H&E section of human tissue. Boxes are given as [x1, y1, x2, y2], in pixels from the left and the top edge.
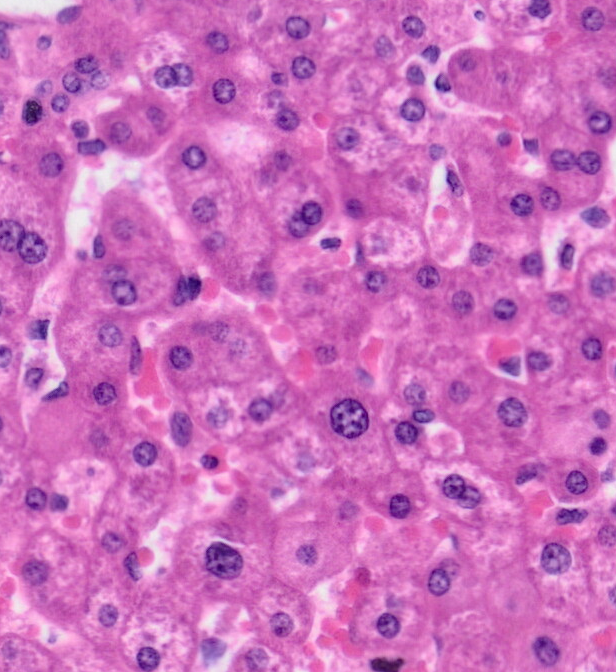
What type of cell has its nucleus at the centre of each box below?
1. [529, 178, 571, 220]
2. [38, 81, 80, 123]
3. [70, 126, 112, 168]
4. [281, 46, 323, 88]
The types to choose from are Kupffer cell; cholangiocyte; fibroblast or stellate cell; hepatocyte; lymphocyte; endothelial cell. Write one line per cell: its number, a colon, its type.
1: hepatocyte
2: cholangiocyte
3: fibroblast or stellate cell
4: hepatocyte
